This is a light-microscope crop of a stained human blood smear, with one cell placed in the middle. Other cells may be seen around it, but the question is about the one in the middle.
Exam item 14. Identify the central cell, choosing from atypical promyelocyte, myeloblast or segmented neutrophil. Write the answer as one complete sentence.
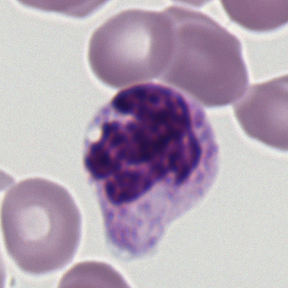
By classification, the middle cell of this crop is a segmented neutrophil.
